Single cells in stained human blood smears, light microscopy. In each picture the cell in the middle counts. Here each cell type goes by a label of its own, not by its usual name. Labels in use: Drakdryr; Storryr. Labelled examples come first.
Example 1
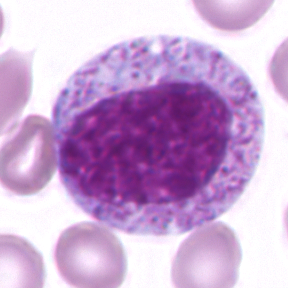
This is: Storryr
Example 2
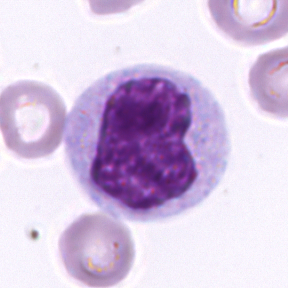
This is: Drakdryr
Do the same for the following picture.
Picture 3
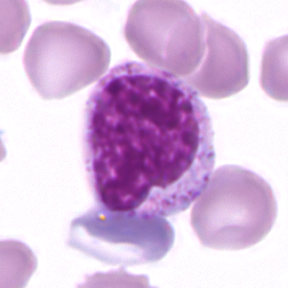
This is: Drakdryr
